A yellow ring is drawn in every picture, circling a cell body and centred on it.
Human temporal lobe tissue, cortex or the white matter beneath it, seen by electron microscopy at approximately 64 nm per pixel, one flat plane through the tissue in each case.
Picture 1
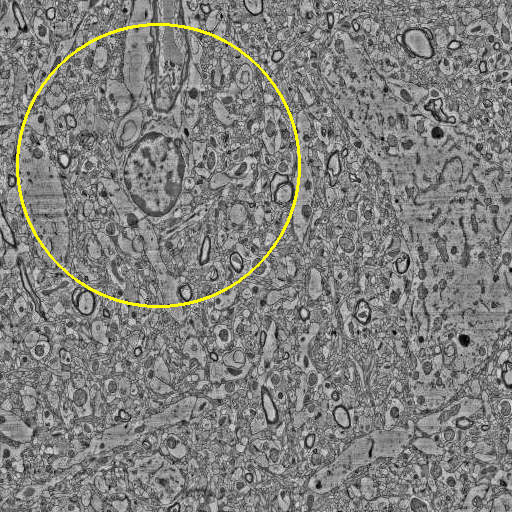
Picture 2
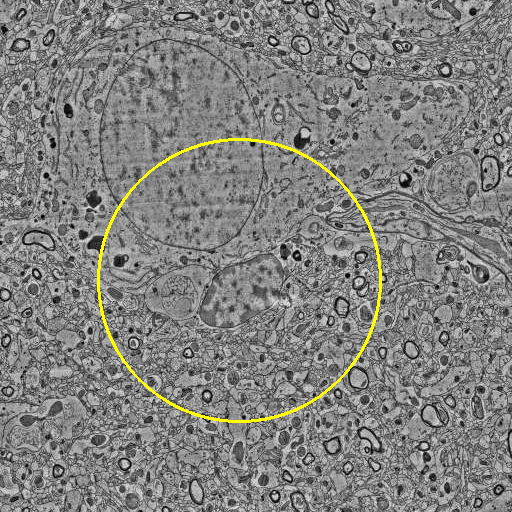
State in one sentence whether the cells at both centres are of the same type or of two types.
The cells at the two ring centres, one per picture, are of the same type.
